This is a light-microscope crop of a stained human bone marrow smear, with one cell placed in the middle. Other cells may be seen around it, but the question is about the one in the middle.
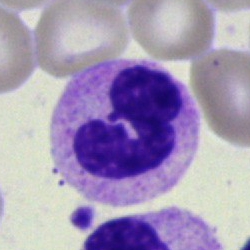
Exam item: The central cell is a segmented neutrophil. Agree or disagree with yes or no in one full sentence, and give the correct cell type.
Yes, the cell shown in the middle is a segmented neutrophil.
